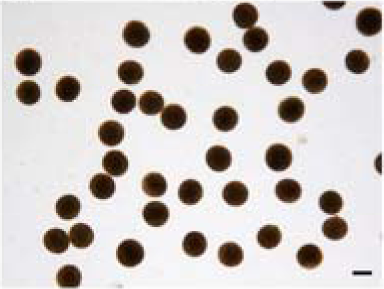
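The grains are stained uniformly dark brown to nearly black, with a slightly paler rim at the edge. They lie singly or touching in small groups, scattered over a clear background. None of the grains appears collapsed or empty.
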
